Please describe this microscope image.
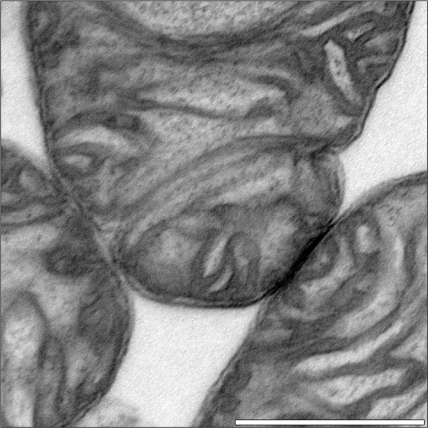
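At high magnification, parts of several isolated mitochondria fill the field, pressed against one another. Each is bounded by an envelope of two membranes, with a sharp dark outline where neighbouring mitochondria touch. The interior is packed with many folded cristae running in different directions through an electron-dense matrix. The envelopes appear continuous, without visible breaks. Pale empty background lies in the corners between the mitochondria.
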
